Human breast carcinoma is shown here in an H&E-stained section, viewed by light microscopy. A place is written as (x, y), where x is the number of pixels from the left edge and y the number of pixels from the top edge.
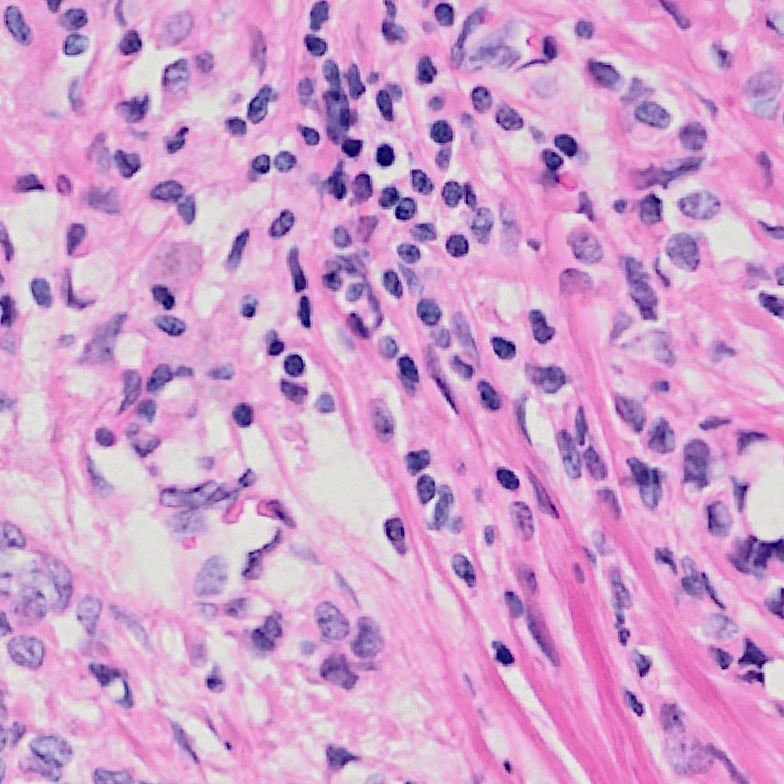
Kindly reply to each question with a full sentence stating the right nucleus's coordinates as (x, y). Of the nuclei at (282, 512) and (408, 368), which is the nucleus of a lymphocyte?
Of these two nuclei, it is the one at (408, 368) that belongs to a lymphocyte.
